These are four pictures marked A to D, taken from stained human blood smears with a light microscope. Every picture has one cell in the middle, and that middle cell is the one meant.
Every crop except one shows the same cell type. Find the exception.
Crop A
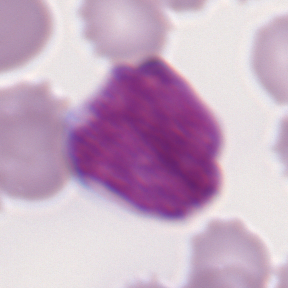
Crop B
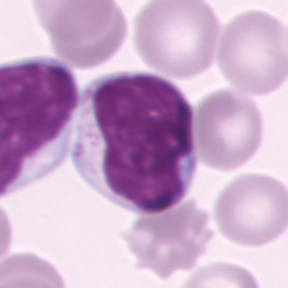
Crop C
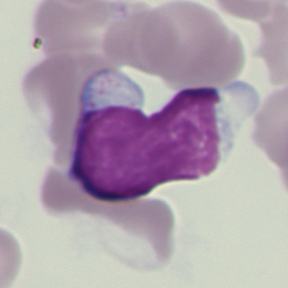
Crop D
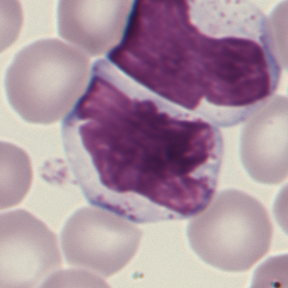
A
